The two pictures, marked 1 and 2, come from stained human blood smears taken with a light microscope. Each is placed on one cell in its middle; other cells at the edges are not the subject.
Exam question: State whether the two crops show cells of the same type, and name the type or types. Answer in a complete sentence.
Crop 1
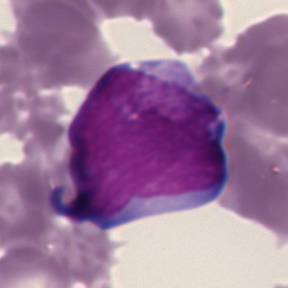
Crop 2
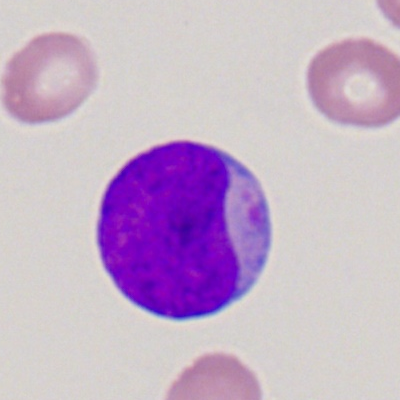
Yes, the two crops show blasts, both of them.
